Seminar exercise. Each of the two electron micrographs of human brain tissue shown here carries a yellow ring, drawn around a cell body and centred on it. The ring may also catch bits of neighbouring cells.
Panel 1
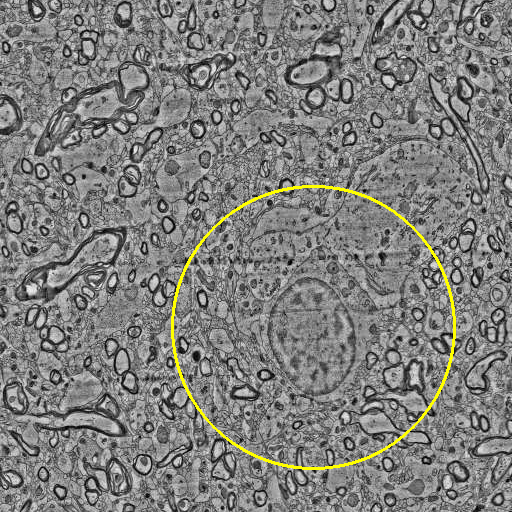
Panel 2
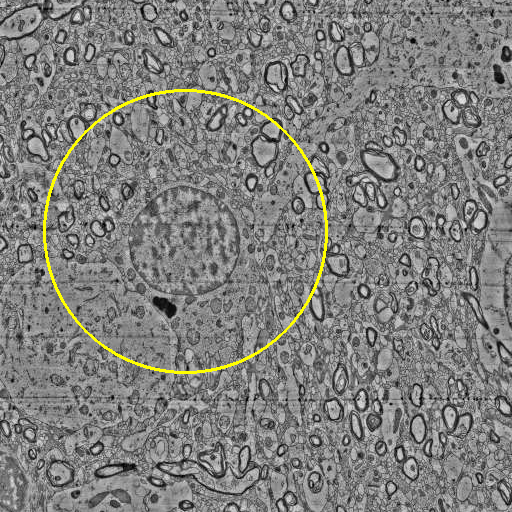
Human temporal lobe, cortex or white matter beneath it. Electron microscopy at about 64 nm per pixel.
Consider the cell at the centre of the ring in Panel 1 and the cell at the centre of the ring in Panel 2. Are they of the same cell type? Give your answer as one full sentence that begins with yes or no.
Yes, both cells are of the same type.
